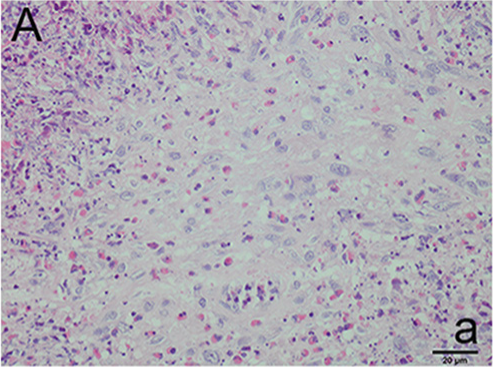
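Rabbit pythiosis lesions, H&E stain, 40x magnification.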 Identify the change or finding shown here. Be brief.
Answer: Eosinophilic infiltrate.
